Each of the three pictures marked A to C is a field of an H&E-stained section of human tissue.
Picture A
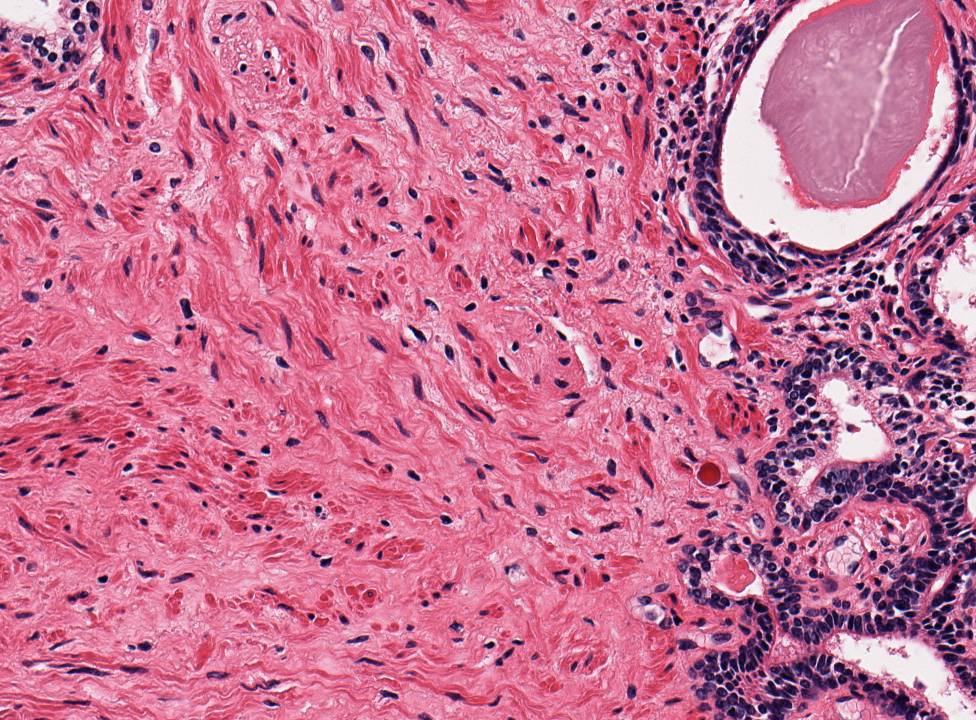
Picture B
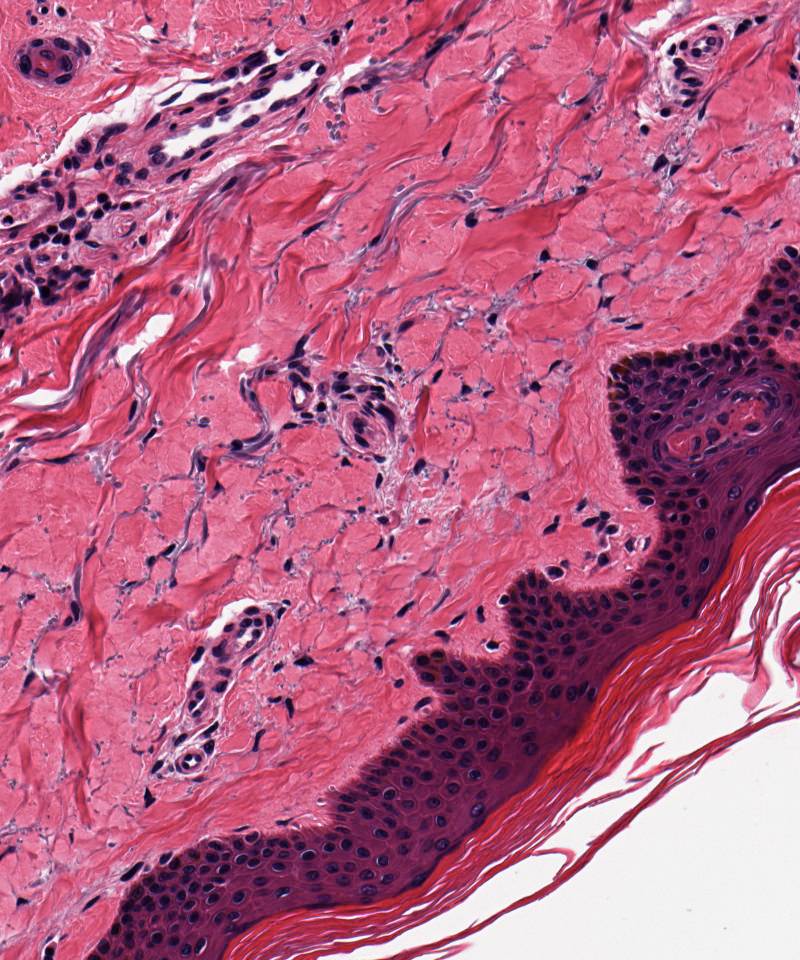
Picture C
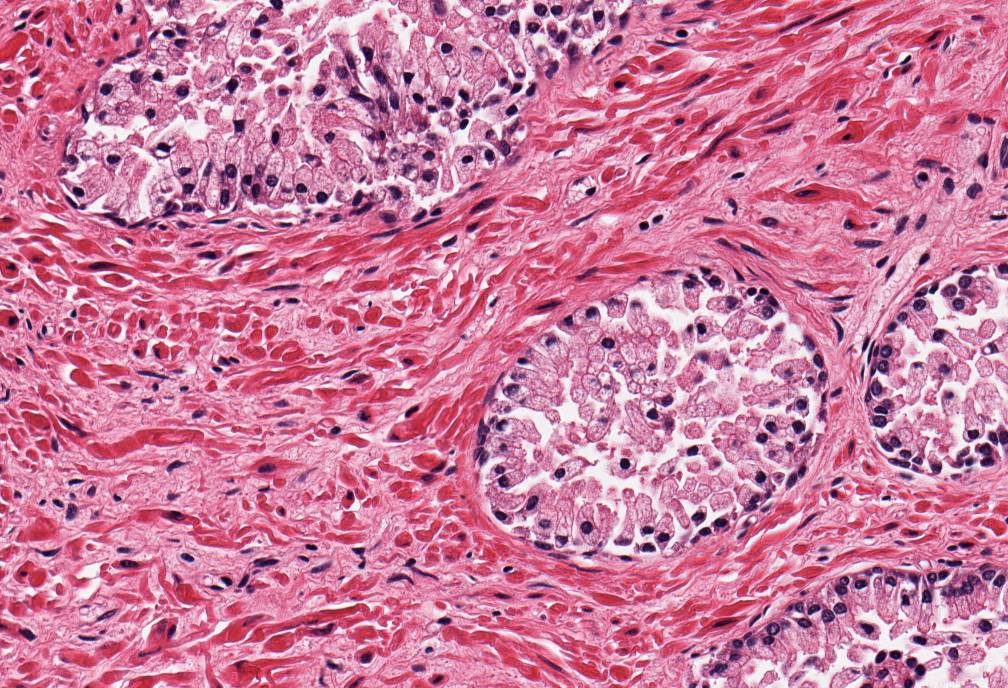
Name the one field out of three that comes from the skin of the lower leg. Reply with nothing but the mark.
B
